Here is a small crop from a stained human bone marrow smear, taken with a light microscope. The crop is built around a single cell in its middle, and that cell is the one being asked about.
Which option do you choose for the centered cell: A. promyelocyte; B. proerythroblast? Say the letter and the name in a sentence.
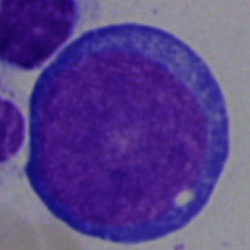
Option B holds up: the cell in the middle is a proerythroblast.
